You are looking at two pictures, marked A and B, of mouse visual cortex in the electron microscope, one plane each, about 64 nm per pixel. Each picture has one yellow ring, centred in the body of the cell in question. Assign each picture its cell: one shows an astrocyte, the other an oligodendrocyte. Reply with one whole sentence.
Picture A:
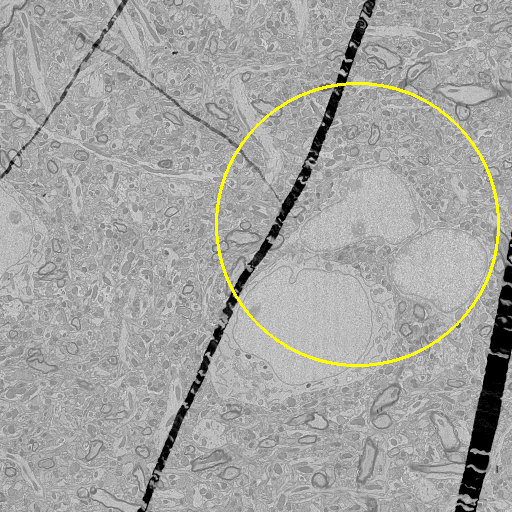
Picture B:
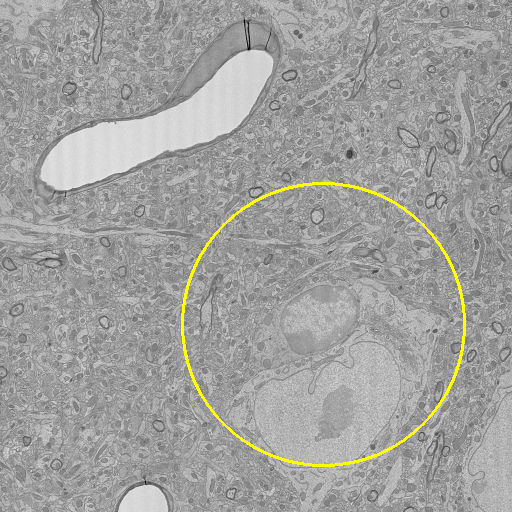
The cell in picture A is an astrocyte, and the one in picture B is an oligodendrocyte.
